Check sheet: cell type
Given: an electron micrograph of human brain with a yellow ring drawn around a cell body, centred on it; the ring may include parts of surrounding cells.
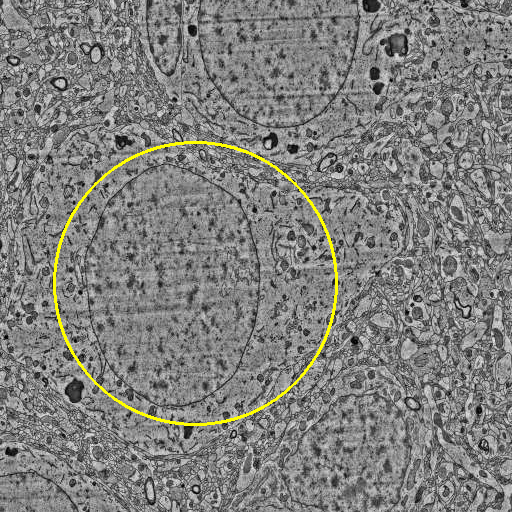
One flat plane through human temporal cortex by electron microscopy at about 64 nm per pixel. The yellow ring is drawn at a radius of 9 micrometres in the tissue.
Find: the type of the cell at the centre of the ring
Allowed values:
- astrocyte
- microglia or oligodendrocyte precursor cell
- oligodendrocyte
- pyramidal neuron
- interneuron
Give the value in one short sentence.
Here the ringed cell is a pyramidal neuron.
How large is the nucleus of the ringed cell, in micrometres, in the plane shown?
In this plane the nucleus measures roughly 16 by 11 micrometres.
